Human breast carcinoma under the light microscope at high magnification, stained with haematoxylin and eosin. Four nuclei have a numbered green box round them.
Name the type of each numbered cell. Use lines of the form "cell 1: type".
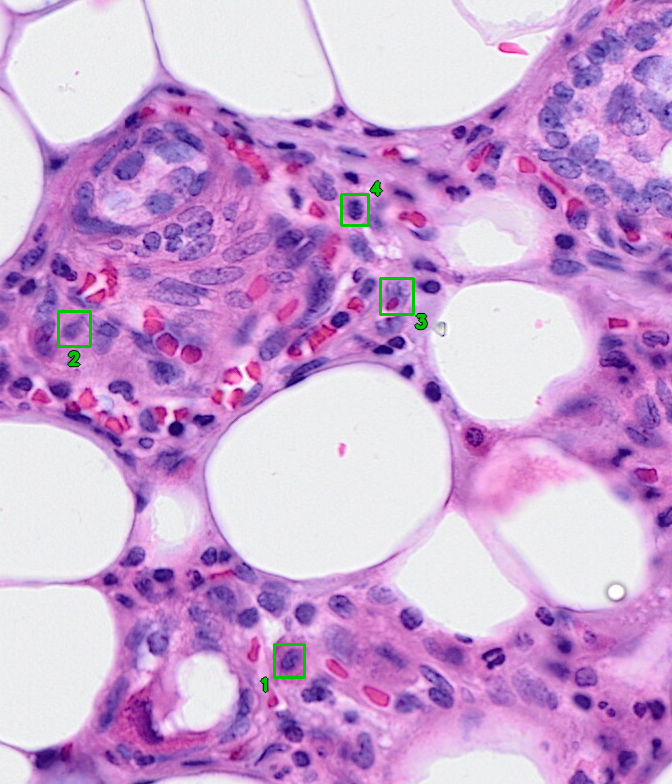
cell 1: mast cell
cell 2: endothelial cell
cell 3: endothelial cell
cell 4: mast cell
